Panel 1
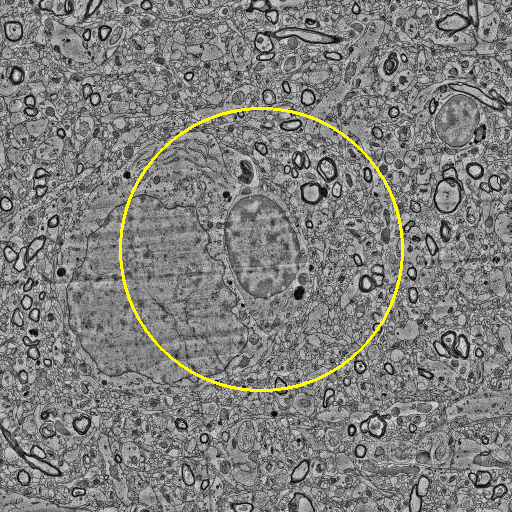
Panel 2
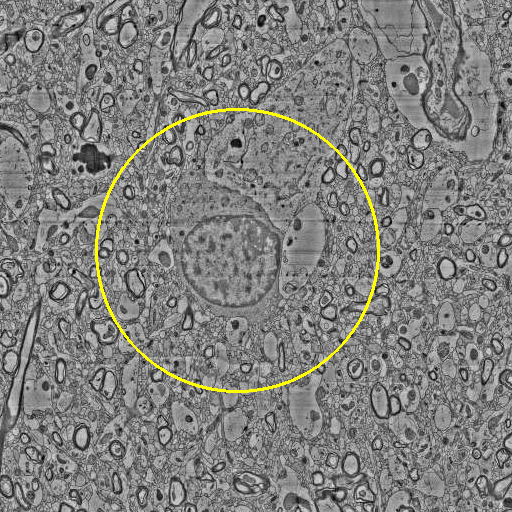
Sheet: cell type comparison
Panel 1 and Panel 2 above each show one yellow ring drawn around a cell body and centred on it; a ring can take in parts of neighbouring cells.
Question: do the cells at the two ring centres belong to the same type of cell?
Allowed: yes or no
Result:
yes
